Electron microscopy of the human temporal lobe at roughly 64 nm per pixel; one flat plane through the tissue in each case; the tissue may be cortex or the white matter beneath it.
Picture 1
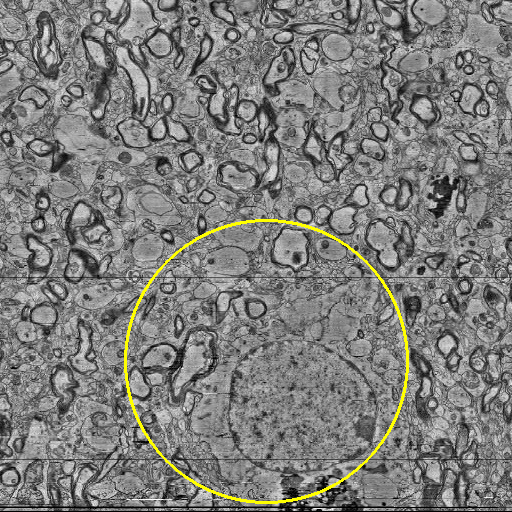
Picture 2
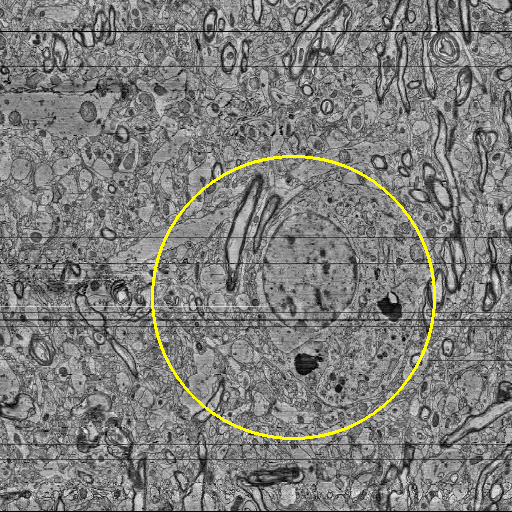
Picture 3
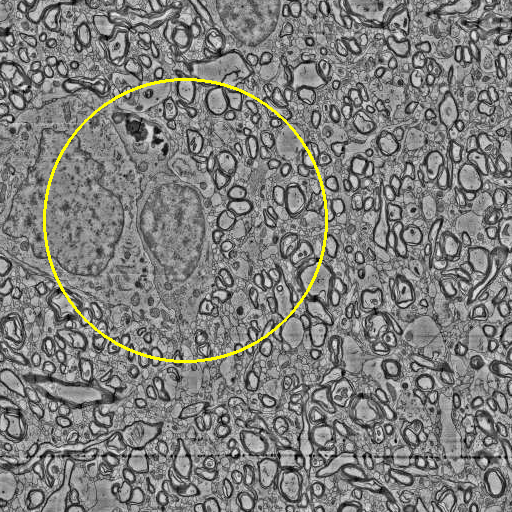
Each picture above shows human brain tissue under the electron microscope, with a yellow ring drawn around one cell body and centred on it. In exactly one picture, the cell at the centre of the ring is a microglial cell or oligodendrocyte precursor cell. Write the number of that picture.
2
